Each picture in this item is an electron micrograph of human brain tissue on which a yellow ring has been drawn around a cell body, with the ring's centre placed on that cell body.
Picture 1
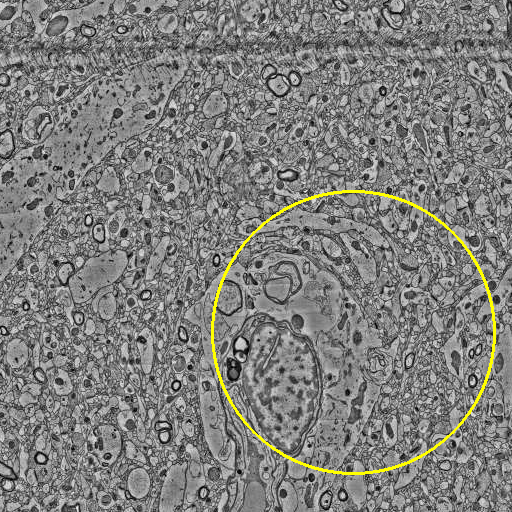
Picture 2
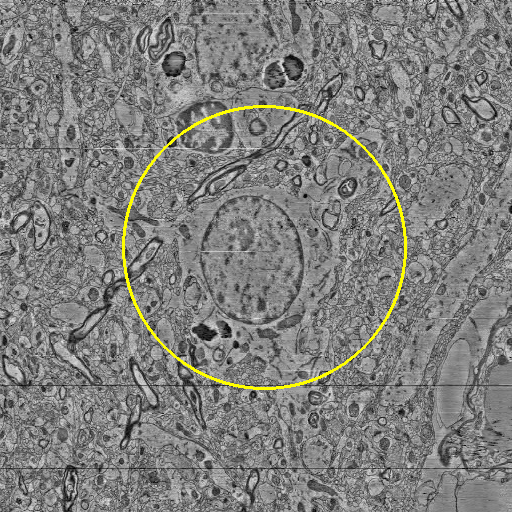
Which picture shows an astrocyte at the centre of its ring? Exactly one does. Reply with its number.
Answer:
2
